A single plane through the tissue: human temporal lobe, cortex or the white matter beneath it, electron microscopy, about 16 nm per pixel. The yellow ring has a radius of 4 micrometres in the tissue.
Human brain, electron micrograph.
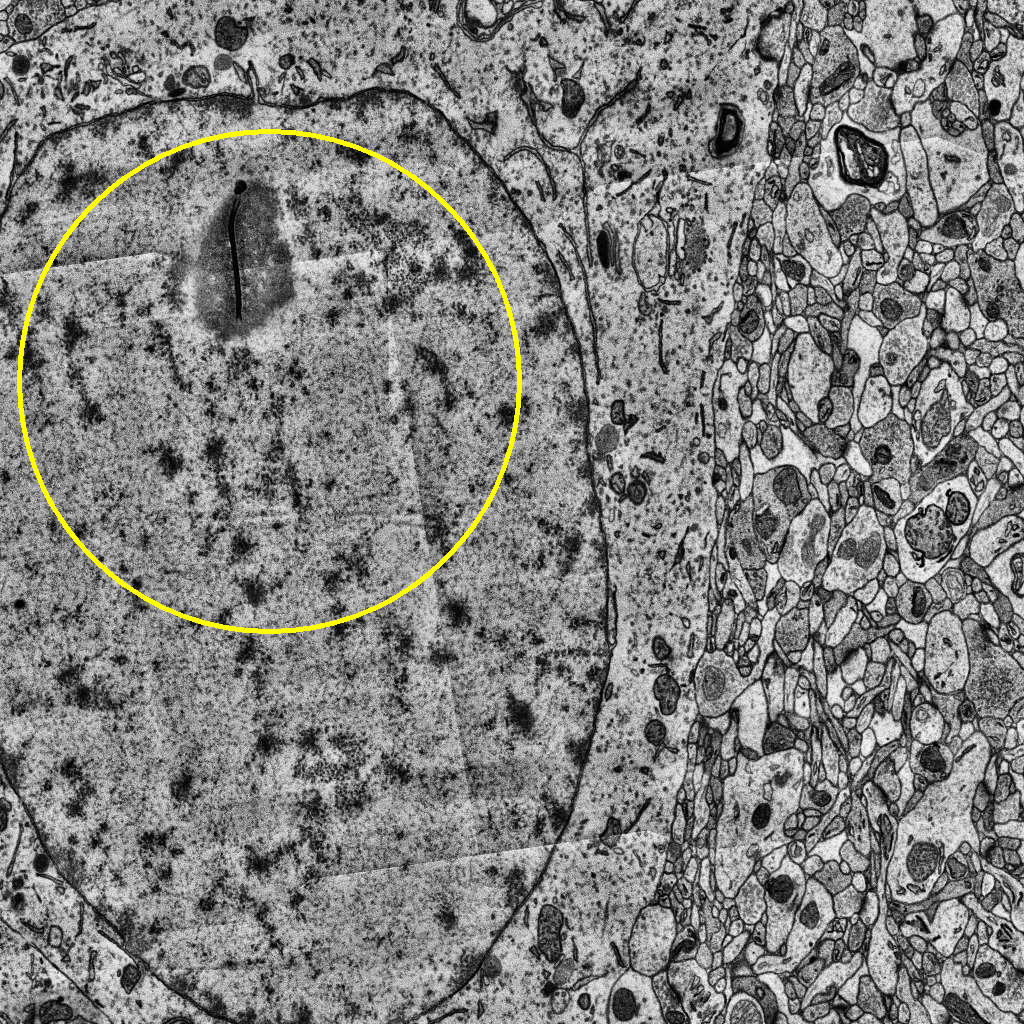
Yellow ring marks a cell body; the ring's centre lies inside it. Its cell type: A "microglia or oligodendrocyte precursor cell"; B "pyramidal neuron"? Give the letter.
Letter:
B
